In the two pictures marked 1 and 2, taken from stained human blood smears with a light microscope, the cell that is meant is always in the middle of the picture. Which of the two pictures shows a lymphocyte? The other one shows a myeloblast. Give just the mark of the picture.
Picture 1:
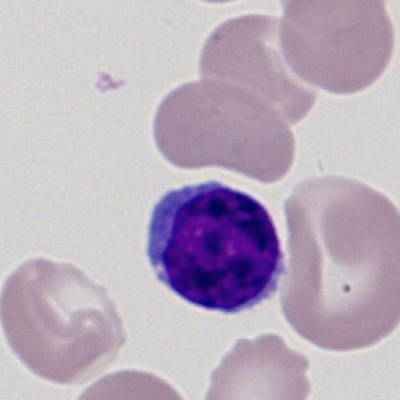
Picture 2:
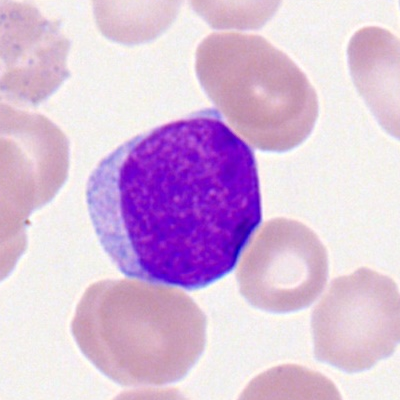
1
